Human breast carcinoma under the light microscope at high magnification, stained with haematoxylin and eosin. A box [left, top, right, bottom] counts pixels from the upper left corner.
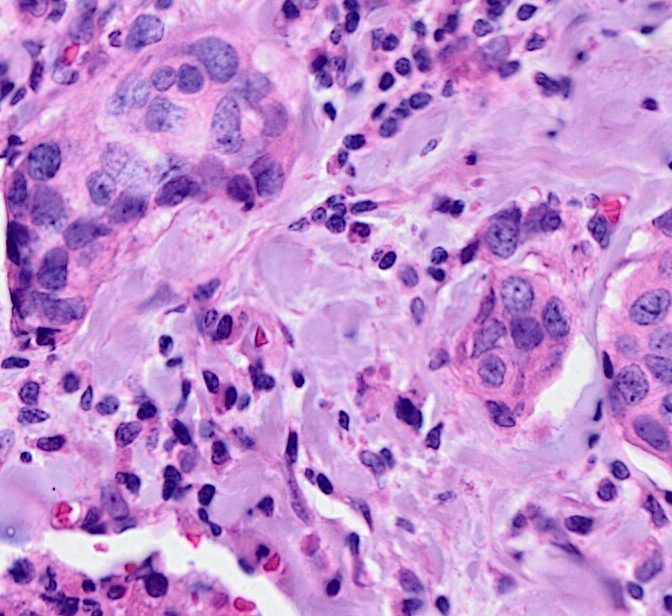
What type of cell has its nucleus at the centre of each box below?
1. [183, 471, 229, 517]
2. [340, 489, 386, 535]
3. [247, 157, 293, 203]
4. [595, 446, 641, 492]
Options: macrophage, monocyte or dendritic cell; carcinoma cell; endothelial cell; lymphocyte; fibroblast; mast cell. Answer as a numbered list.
1. lymphocyte
2. fibroblast
3. carcinoma cell
4. lymphocyte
